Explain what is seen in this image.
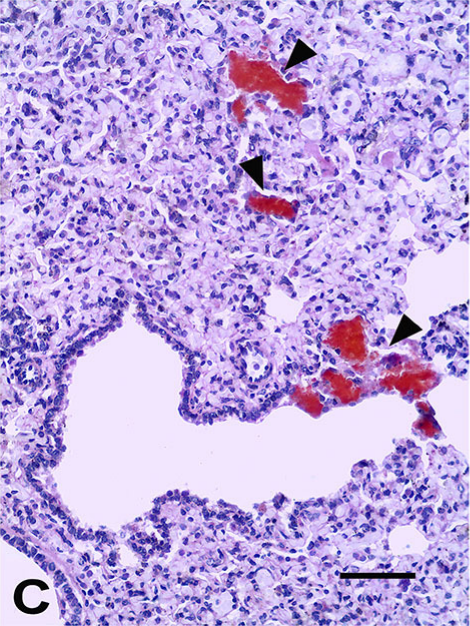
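Lung tissue with alveoli, septa and interstitium, with a bronchiole lined by a layer of epithelial cells at the lower left. The alveolar septa are thickened and cellular, with many dark purple nuclei and pale pink cytoplasm, and the airspaces are partly filled with cells. Several irregular dark red-orange amorphous deposits lie among the alveoli and septa, some near the bronchiolar wall.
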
